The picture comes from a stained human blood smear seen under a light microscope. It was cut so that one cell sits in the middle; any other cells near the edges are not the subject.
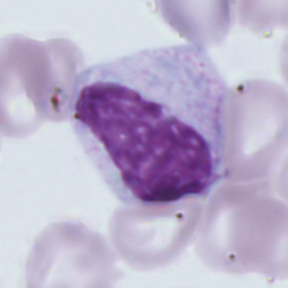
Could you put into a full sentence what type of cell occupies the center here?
The cell centered in this field of view is a metamyelocyte.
